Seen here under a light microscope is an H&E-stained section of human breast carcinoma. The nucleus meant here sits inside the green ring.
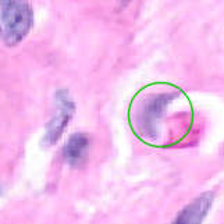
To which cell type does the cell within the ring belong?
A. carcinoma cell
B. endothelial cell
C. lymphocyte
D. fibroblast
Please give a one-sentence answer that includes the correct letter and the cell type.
As the cell within the ring is an endothelial cell, the correct choice is option B.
